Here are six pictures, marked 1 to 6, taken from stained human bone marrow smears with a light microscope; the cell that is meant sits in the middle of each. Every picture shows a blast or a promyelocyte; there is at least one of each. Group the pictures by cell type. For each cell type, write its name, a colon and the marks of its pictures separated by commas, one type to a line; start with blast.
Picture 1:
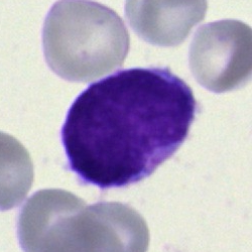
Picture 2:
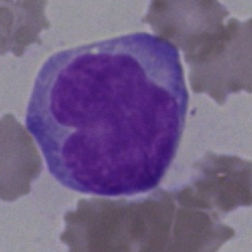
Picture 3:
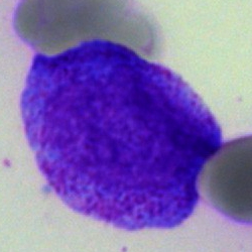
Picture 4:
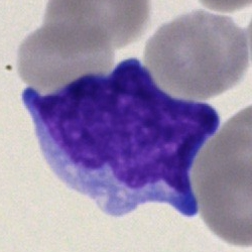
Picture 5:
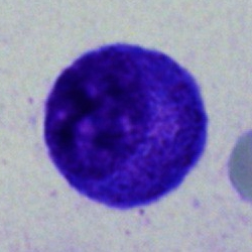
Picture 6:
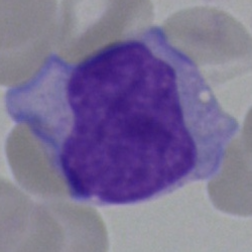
blast: 1, 2, 4, 6
promyelocyte: 3, 5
